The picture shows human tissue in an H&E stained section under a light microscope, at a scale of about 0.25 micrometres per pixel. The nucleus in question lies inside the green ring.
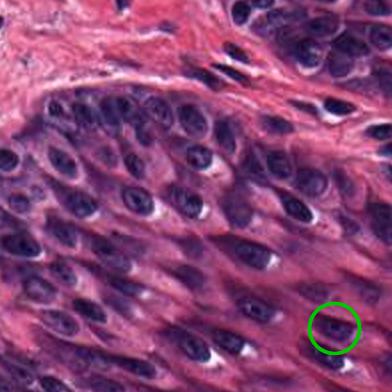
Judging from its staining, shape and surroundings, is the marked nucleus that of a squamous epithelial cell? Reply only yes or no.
yes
